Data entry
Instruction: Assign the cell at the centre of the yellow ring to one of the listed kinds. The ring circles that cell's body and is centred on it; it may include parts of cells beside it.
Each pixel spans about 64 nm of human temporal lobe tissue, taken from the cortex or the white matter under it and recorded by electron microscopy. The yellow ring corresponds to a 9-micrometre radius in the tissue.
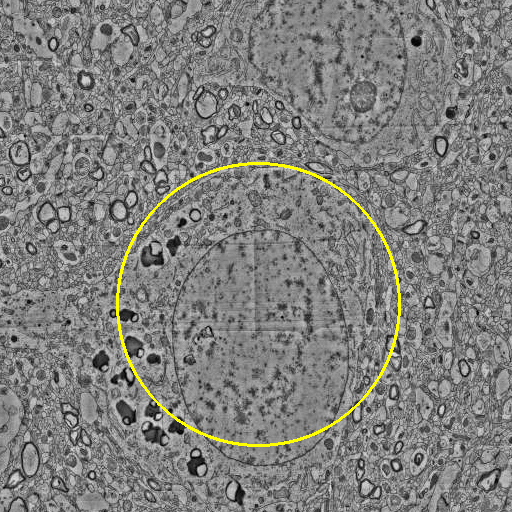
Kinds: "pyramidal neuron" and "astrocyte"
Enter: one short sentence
The centre of the ring falls on a pyramidal neuron.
